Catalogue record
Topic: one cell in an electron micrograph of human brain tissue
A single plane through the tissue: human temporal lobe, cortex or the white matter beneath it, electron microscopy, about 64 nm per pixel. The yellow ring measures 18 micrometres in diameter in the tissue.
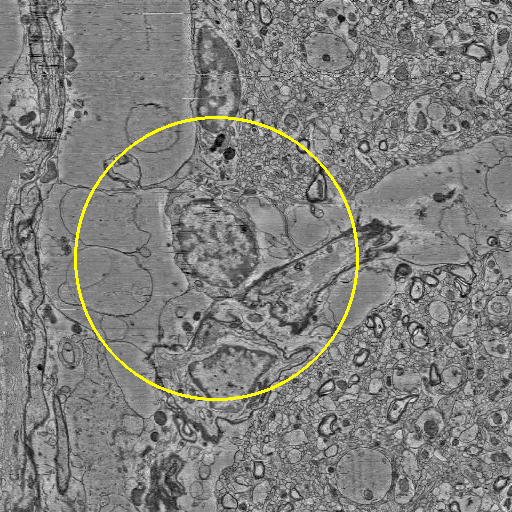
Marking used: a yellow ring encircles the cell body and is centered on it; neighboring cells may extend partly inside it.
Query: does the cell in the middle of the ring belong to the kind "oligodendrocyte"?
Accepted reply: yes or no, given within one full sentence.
Yes, the cell centered in the ring in the picture is of that kind.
